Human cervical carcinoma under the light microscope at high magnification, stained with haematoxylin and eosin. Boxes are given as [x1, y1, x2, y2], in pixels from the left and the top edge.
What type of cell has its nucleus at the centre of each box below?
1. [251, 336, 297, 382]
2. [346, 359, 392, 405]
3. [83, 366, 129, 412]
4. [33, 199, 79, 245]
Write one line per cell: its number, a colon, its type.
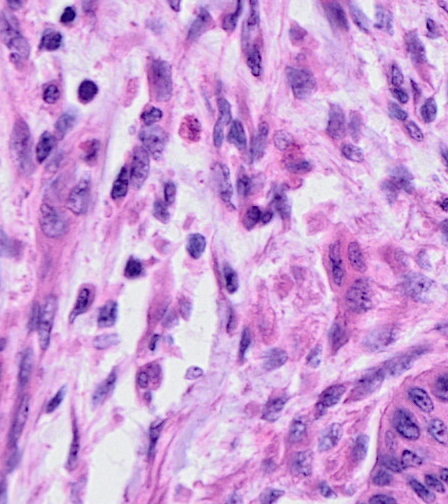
1: fibroblast
2: fibroblast
3: fibroblast
4: endothelial cell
